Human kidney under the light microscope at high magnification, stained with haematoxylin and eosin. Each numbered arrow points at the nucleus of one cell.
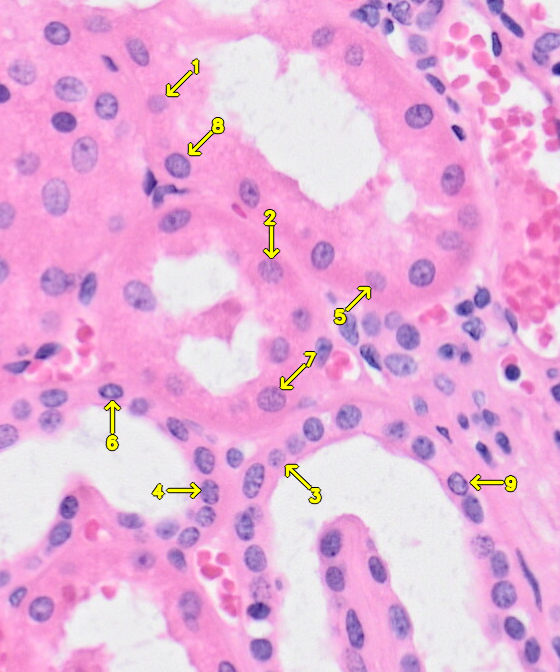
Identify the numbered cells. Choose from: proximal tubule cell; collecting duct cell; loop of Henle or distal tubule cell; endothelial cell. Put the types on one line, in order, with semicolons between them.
proximal tubule cell; proximal tubule cell; collecting duct cell; collecting duct cell; proximal tubule cell; collecting duct cell; proximal tubule cell; proximal tubule cell; collecting duct cell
